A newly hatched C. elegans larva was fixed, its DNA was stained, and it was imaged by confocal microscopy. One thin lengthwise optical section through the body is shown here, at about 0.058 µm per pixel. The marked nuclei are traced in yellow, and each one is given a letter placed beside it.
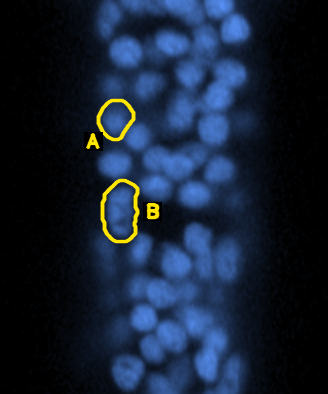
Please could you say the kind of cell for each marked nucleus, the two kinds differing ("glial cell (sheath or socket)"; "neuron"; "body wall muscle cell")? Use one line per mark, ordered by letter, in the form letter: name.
A: neuron
B: body wall muscle cell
